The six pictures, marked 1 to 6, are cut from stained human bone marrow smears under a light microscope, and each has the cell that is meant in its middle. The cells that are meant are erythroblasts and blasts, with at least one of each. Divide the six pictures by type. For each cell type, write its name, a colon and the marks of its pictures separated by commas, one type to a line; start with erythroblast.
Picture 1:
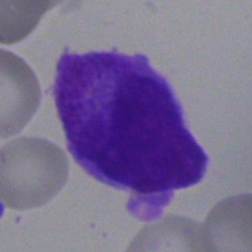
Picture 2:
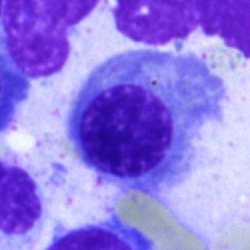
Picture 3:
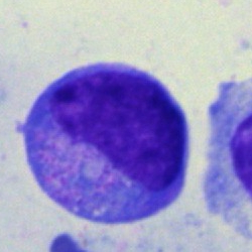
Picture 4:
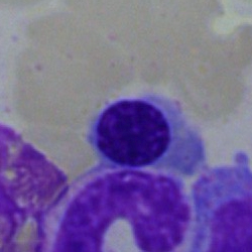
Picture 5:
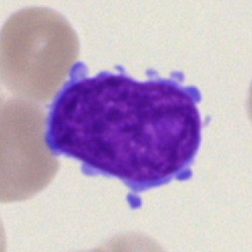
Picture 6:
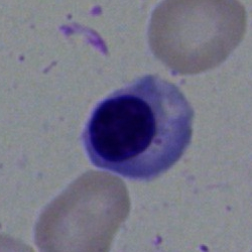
erythroblast: 2, 4, 6
blast: 1, 3, 5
